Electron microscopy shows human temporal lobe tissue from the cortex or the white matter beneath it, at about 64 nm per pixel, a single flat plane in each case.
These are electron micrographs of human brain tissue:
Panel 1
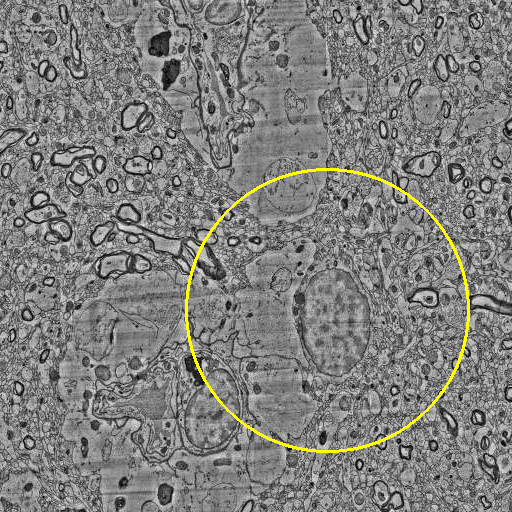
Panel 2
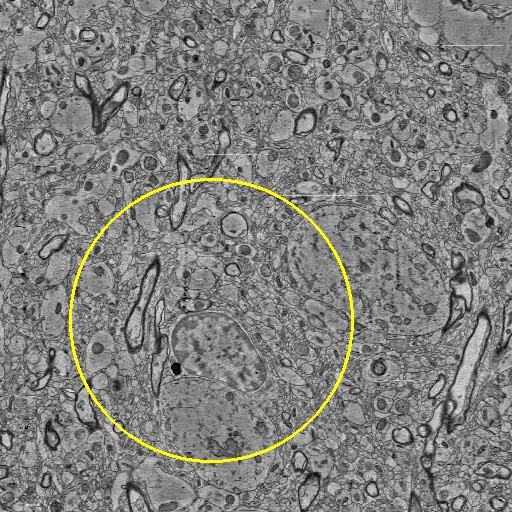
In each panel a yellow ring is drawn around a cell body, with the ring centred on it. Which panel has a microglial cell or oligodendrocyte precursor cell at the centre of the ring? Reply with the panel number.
2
